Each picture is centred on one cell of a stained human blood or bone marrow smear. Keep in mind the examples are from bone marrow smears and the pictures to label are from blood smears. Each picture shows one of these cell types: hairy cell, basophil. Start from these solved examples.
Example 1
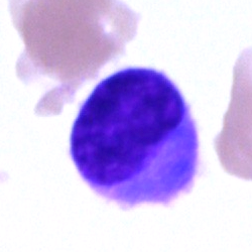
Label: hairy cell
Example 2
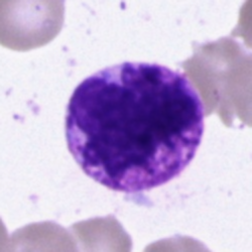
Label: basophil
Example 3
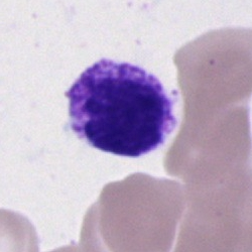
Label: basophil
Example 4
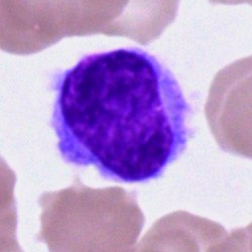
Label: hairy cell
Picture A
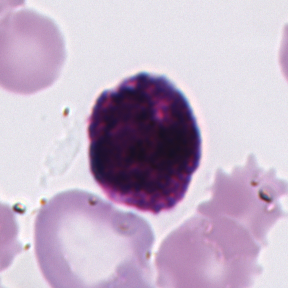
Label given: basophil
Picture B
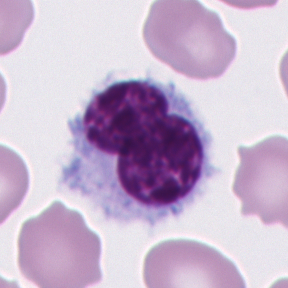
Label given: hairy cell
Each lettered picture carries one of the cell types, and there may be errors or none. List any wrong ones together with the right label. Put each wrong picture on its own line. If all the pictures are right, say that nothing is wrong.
Nothing to fix; every label fits.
